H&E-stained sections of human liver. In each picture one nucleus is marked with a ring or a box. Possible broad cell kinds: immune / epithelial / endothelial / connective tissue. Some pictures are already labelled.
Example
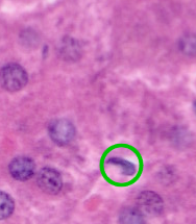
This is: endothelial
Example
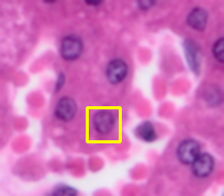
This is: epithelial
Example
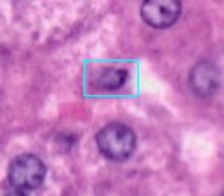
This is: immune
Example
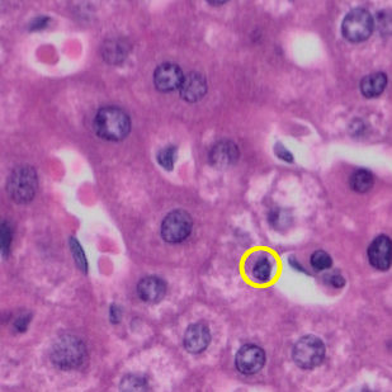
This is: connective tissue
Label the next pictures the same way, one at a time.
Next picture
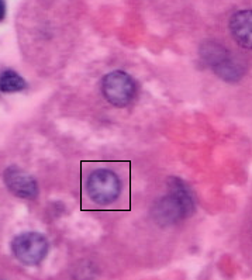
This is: epithelial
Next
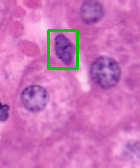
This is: immune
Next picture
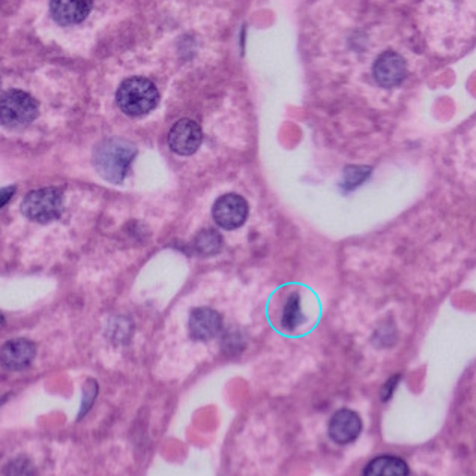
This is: endothelial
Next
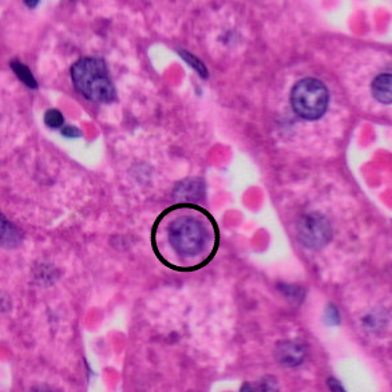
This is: epithelial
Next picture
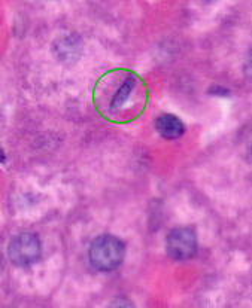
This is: endothelial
